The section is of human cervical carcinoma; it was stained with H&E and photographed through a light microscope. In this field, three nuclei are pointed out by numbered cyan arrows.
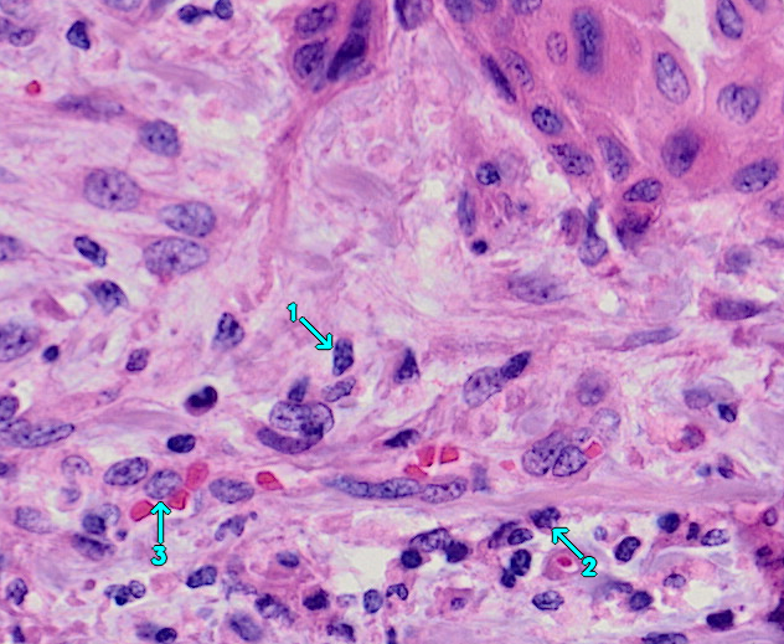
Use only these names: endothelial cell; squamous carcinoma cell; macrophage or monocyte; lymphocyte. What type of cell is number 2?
lymphocyte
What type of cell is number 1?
lymphocyte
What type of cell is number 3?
endothelial cell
